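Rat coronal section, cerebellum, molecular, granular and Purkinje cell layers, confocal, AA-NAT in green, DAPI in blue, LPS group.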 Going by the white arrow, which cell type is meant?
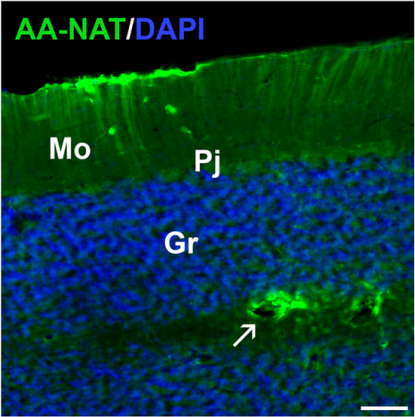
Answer: Cells surrounding blood vessels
